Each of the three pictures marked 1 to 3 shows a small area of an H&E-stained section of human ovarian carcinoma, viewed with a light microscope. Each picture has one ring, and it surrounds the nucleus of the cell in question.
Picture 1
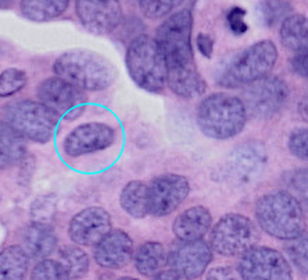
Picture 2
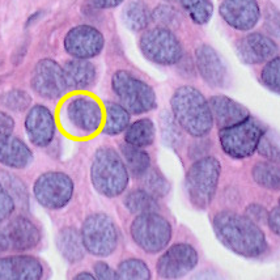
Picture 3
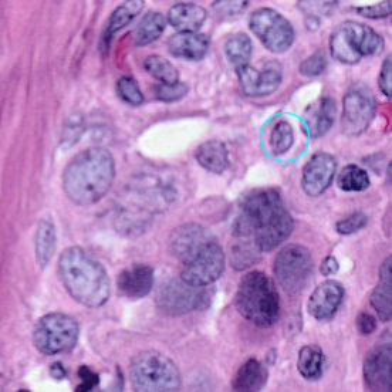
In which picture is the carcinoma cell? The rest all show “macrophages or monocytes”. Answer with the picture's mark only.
2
